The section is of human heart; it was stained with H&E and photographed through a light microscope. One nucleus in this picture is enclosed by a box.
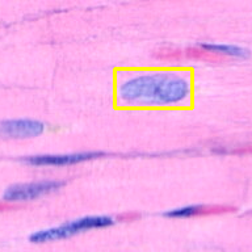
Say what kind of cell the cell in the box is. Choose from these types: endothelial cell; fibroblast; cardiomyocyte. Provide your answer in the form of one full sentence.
The correct response here is that the cell in the box is a cardiomyocyte.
